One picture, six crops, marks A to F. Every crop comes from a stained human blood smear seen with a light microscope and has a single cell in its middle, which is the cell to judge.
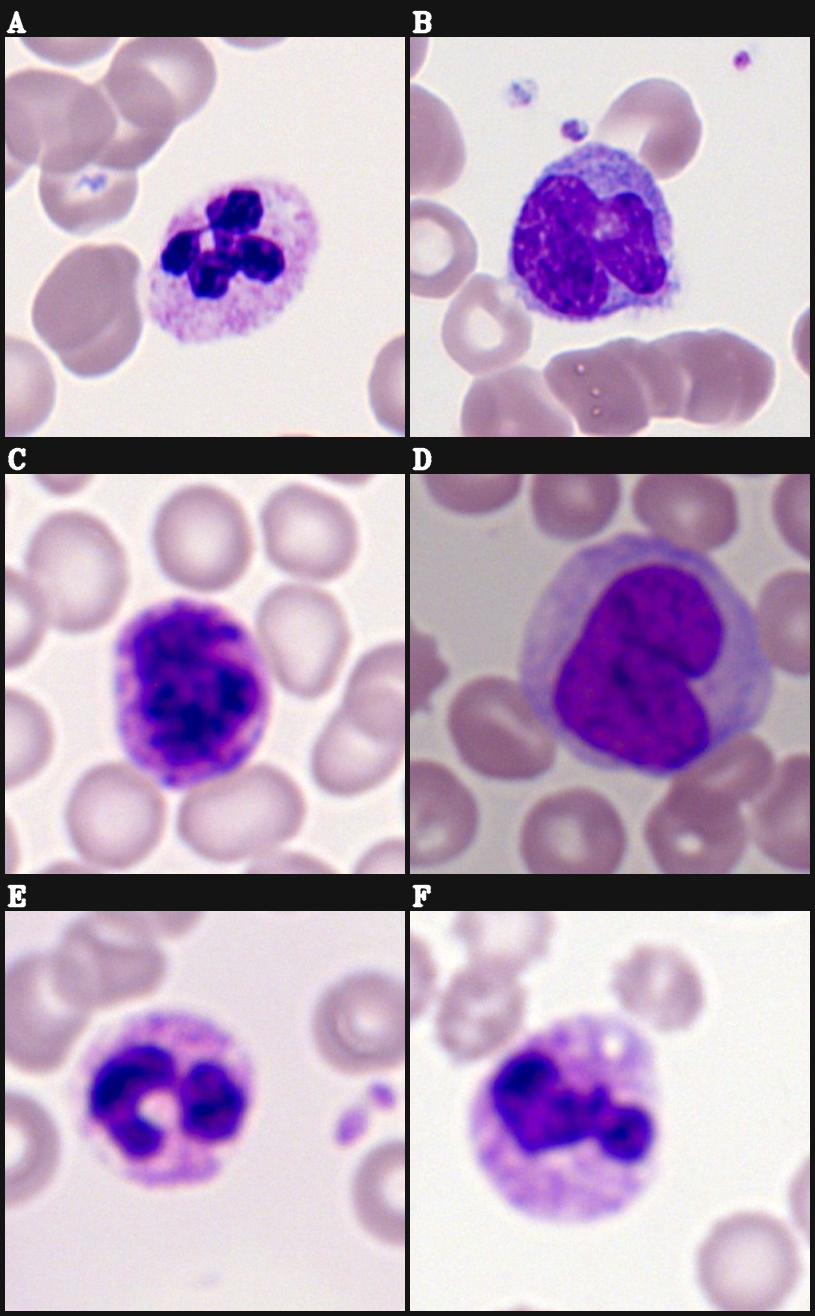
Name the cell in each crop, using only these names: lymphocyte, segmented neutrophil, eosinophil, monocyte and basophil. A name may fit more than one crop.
A: segmented neutrophil
B: monocyte
C: basophil
D: monocyte
E: segmented neutrophil
F: segmented neutrophil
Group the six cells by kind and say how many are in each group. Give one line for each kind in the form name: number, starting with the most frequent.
segmented neutrophil: 3
monocyte: 2
basophil: 1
